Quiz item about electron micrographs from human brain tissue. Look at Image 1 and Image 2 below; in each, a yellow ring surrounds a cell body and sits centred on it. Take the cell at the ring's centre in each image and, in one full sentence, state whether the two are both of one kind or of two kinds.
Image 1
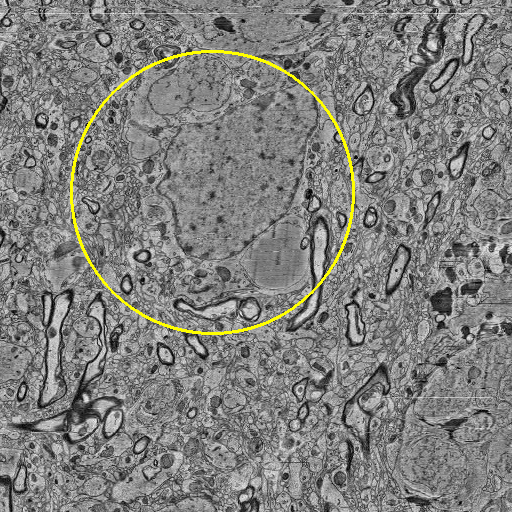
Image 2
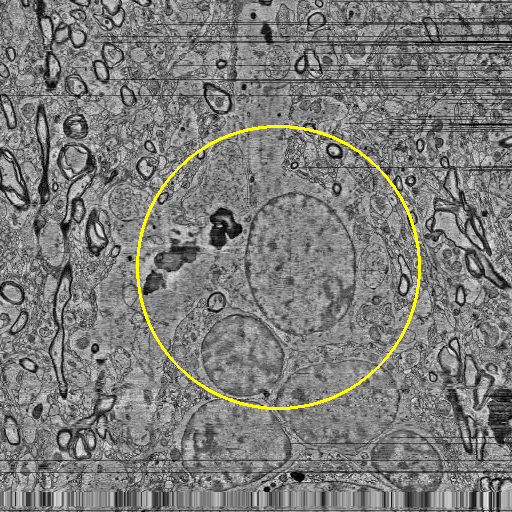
In Image 1 and Image 2, the cells at the ring centres are both of one kind.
